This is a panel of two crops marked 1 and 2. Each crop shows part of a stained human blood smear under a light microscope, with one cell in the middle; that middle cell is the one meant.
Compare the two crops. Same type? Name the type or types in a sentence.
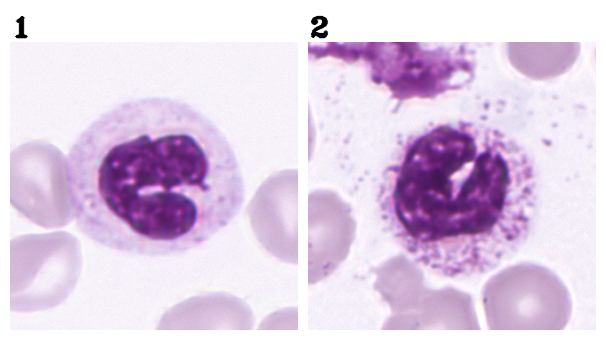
Yes, the cells at the centres of the two crops are band neutrophils.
